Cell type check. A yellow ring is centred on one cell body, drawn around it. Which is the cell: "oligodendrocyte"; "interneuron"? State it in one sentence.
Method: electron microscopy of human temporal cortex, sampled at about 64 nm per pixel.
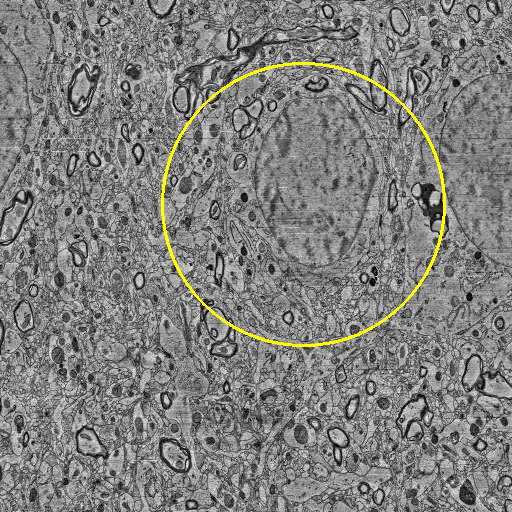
The cell body at the ring's centre belongs to an interneuron.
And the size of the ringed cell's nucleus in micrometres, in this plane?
Roughly 12 by 8 micrometres; in this plane, clearly longer than it is wide.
